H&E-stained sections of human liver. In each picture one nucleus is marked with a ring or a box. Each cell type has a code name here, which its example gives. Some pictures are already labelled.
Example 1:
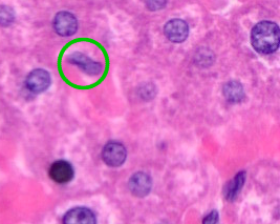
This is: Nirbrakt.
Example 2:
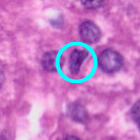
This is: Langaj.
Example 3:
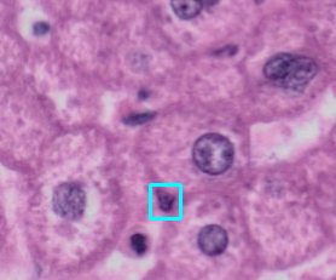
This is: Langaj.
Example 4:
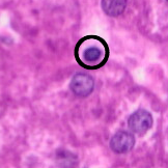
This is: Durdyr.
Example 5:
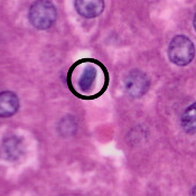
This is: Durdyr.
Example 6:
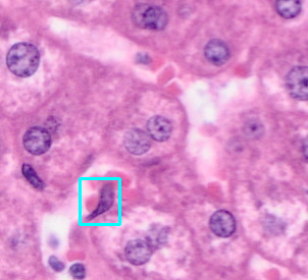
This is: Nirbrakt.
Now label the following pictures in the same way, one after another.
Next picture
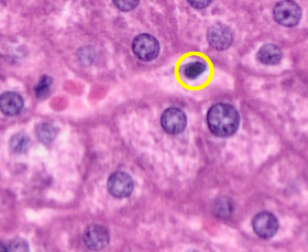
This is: Durdyr.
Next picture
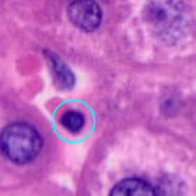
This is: Durdyr.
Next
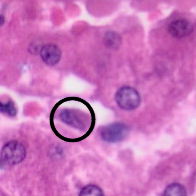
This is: Nirbrakt.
